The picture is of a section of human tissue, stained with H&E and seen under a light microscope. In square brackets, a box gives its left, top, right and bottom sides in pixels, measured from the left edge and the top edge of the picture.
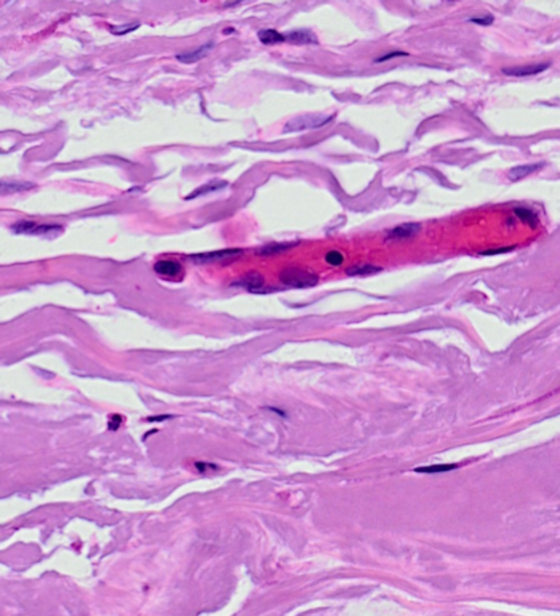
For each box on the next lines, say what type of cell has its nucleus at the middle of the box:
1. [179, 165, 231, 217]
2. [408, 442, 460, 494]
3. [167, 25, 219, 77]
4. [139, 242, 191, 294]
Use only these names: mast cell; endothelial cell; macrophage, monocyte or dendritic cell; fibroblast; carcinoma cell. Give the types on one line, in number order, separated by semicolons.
fibroblast; fibroblast; fibroblast; mast cell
